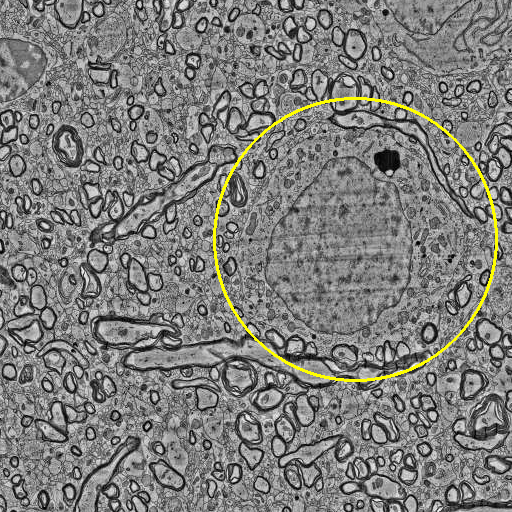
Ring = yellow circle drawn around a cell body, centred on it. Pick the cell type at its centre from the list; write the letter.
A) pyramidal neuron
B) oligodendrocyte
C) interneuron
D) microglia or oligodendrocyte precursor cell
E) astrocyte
C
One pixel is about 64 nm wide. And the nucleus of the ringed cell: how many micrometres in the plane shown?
The nucleus works out at approximately 11 by 9 micrometres in this plane.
